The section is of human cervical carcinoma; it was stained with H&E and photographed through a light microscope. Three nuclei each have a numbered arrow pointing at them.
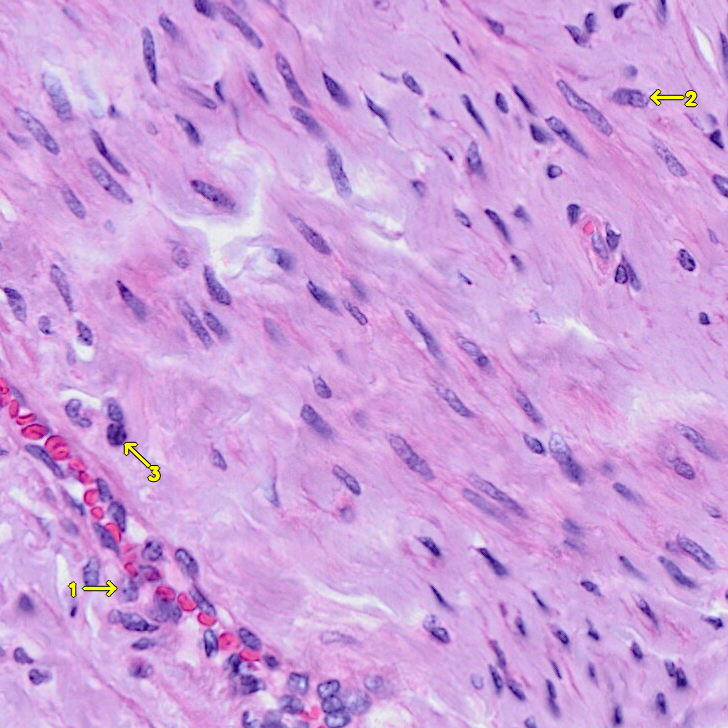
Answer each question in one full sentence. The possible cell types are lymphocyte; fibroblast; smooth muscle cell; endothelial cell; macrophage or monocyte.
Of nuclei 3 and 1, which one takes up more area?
Number 1 is larger; its area is about 1.5 times that of number 3.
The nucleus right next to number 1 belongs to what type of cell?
Number 1 lies closest to the nucleus of an endothelial cell.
